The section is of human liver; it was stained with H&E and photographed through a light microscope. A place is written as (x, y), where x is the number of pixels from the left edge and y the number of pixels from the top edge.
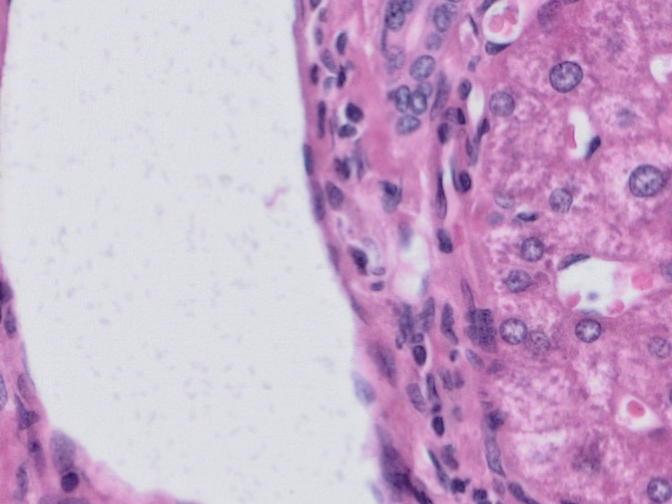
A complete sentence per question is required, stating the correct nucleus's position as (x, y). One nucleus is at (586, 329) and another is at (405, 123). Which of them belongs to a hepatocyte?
The nucleus at (586, 329) is housed in a hepatocyte.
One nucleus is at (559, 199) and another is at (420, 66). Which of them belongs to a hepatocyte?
The one belonging to a hepatocyte is the nucleus at (559, 199), not the other.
